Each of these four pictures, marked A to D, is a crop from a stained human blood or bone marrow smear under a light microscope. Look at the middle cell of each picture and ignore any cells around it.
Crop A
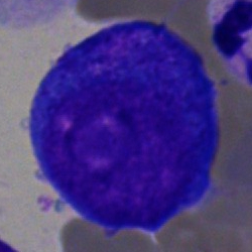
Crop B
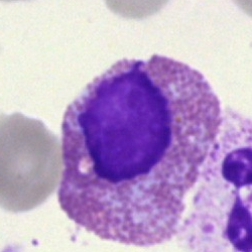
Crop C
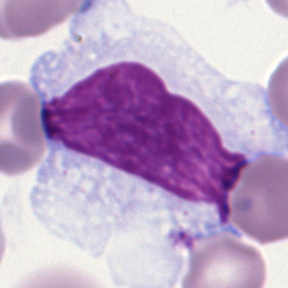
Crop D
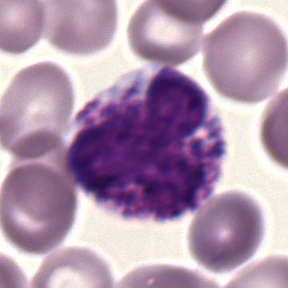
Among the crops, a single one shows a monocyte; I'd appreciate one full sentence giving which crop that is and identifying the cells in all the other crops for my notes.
The cell centred in crop C is a monocyte; by contrast, crop A is a promyelocyte, crop B is an eosinophil and crop D is a basophil.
